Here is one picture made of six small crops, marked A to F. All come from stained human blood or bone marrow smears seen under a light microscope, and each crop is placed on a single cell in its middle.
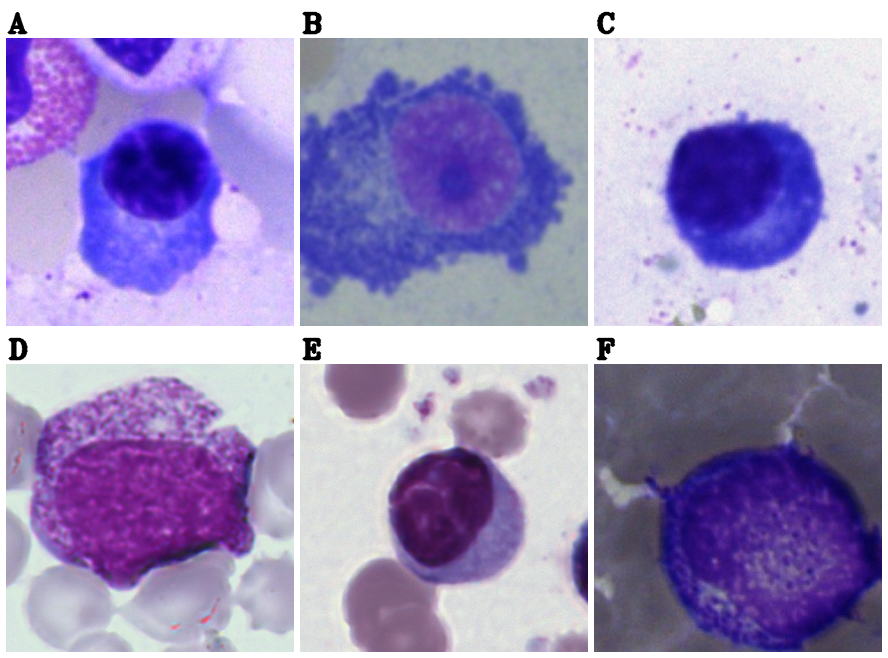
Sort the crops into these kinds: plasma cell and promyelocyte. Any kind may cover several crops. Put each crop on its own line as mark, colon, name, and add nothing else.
A: plasma cell
B: plasma cell
C: plasma cell
D: promyelocyte
E: plasma cell
F: promyelocyte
